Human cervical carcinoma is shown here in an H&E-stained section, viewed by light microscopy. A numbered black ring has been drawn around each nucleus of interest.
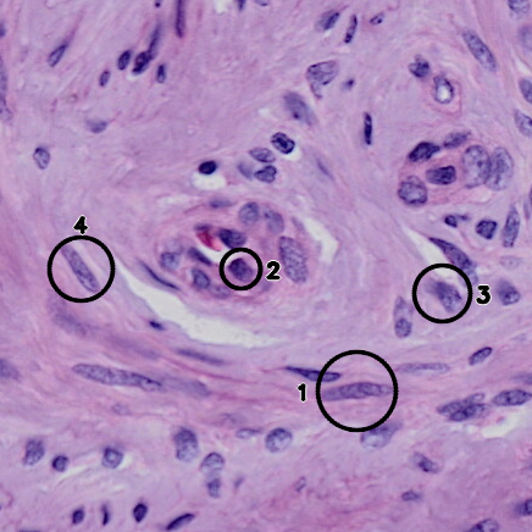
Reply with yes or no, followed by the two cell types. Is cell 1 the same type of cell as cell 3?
No, cell 3 is a fibroblast, and cell 1 is a smooth muscle cell.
